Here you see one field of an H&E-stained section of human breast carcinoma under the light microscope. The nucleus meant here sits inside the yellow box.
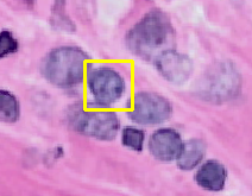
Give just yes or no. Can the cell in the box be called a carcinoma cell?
yes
